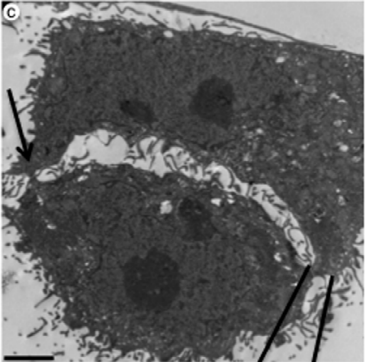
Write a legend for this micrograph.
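Two large cells with big nuclei and dark nucleoli are pressed against each other. A pale, curved cleft runs between them, lined by many fine finger-like membrane projections, and at its edge the two cell surfaces touch where contacts are forming. The outer surfaces of both cells also bristle with short projections.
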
